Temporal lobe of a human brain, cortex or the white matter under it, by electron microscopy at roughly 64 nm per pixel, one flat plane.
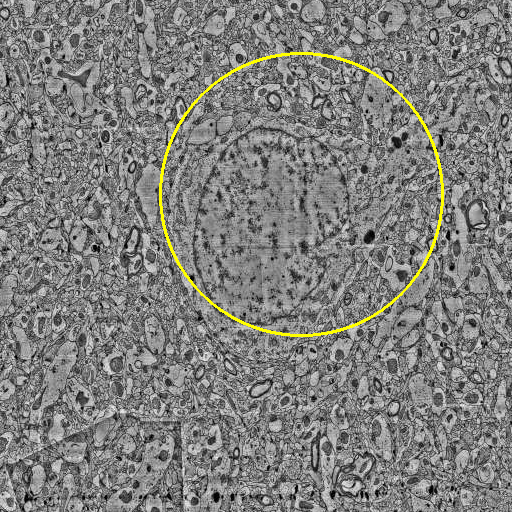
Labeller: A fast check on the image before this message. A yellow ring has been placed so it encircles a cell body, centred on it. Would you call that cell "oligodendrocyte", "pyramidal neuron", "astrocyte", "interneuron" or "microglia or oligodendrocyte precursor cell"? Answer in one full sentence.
In this image, an interneuron is the cell on which the yellow ring is centred.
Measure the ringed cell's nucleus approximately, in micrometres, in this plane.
The nucleus comes to roughly 13 by 9 micrometres in this plane.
